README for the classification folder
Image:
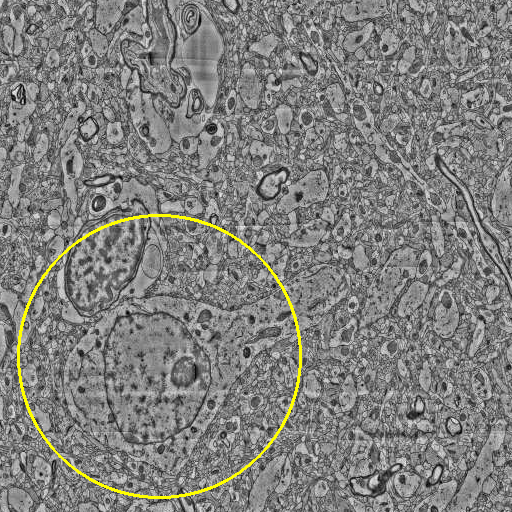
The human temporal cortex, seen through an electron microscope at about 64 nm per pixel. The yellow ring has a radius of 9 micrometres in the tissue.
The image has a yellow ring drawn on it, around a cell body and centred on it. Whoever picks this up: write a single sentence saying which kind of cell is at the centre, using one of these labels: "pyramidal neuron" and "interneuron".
This cell body is that of a pyramidal neuron.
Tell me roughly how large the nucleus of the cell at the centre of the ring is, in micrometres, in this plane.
The nucleus of the ringed cell is approximately 9 by 7 micrometres in this plane.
